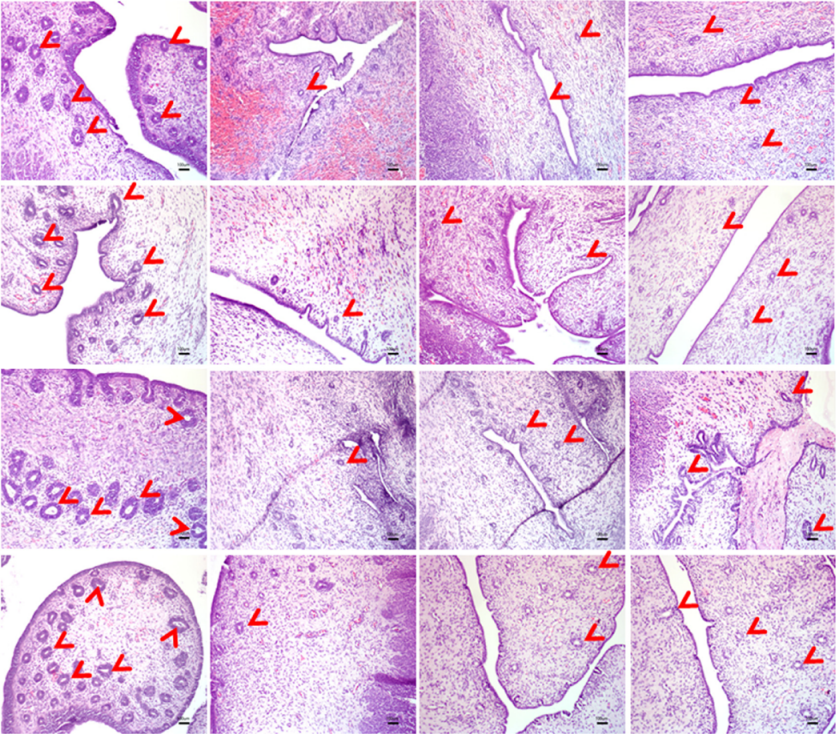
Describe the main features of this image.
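A purple surface epithelium lines slit-like or branching lumina. Beneath it lies a pale pink to lilac stroma scattered with small purple nuclei. Endometrial glands appear in the stroma as small round or oval tubes, each lined by a ring of purple-staining epithelial cells around a small lumen. Some sections contain many such glands, while others contain only a few scattered among broad areas of stroma, and some of that stroma is stained more deeply pink-red.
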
